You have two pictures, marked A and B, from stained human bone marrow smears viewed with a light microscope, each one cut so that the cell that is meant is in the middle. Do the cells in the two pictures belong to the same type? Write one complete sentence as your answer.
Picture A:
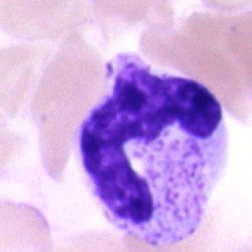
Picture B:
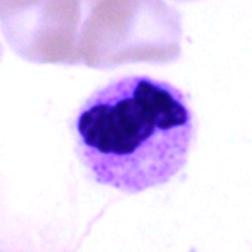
Yes, they are the same type: both are segmented neutrophils.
